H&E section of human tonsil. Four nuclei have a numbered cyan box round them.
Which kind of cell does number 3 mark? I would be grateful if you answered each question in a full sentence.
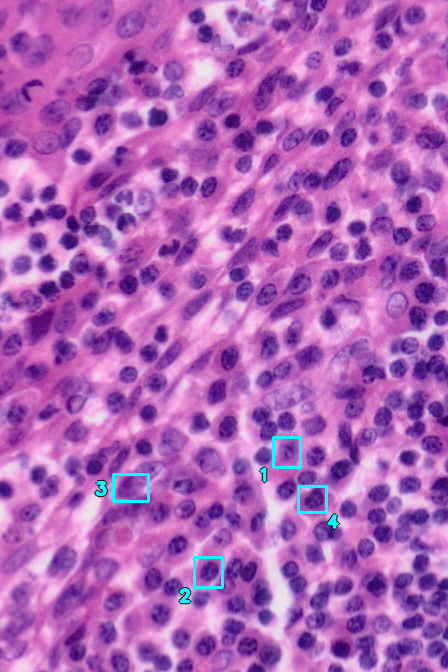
The marked cell bearing number 3 is a squamous epithelial cell.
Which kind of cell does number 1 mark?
Among the marked cells, number 1 is a plasma cell.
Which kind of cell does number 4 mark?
Cell 4 of the marked set is a plasma cell.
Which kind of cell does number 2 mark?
Corresponding to a plasma cell is the cell labelled 2.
